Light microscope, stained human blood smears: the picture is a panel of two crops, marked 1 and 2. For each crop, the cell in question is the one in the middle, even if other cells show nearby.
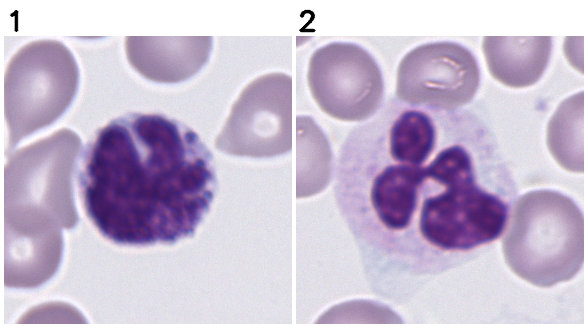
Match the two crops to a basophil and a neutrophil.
1: basophil
2: neutrophil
